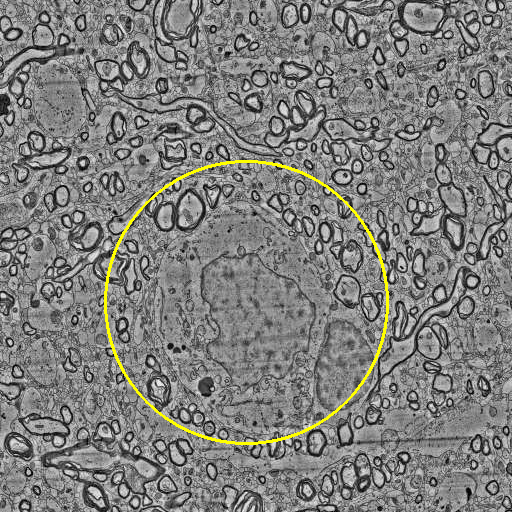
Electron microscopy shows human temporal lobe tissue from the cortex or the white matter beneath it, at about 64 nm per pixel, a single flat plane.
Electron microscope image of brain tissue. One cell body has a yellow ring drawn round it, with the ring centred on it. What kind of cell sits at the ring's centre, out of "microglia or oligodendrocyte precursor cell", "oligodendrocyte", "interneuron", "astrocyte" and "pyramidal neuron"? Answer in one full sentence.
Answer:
It is a pyramidal neuron whose cell body sits at the centre of the yellow ring.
